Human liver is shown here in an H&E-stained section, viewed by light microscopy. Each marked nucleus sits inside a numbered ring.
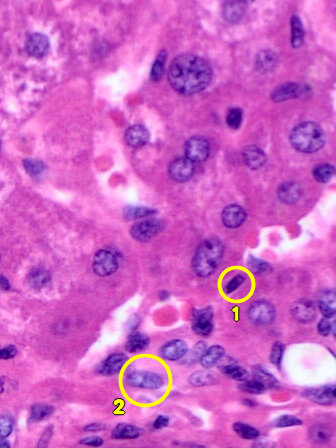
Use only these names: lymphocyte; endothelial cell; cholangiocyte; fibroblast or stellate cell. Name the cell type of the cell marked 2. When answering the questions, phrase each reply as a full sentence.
The numbered cell 2 in this field is a cholangiocyte.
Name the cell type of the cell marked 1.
In this section, the cell tagged 1 is a fibroblast or stellate cell.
